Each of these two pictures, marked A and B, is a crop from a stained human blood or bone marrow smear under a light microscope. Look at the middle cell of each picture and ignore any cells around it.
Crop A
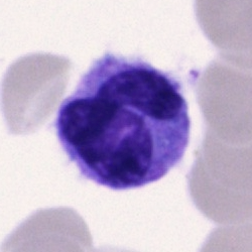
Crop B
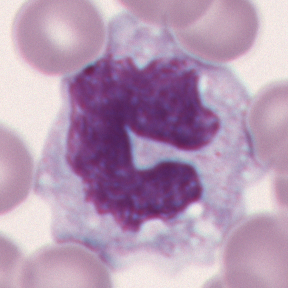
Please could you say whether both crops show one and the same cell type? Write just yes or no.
yes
